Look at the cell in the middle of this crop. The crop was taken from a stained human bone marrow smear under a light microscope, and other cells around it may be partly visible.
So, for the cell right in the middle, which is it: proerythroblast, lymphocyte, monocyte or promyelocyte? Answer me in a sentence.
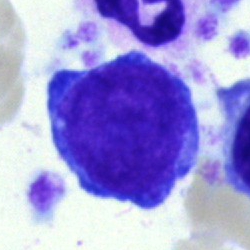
The identification for the central cell is a proerythroblast.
